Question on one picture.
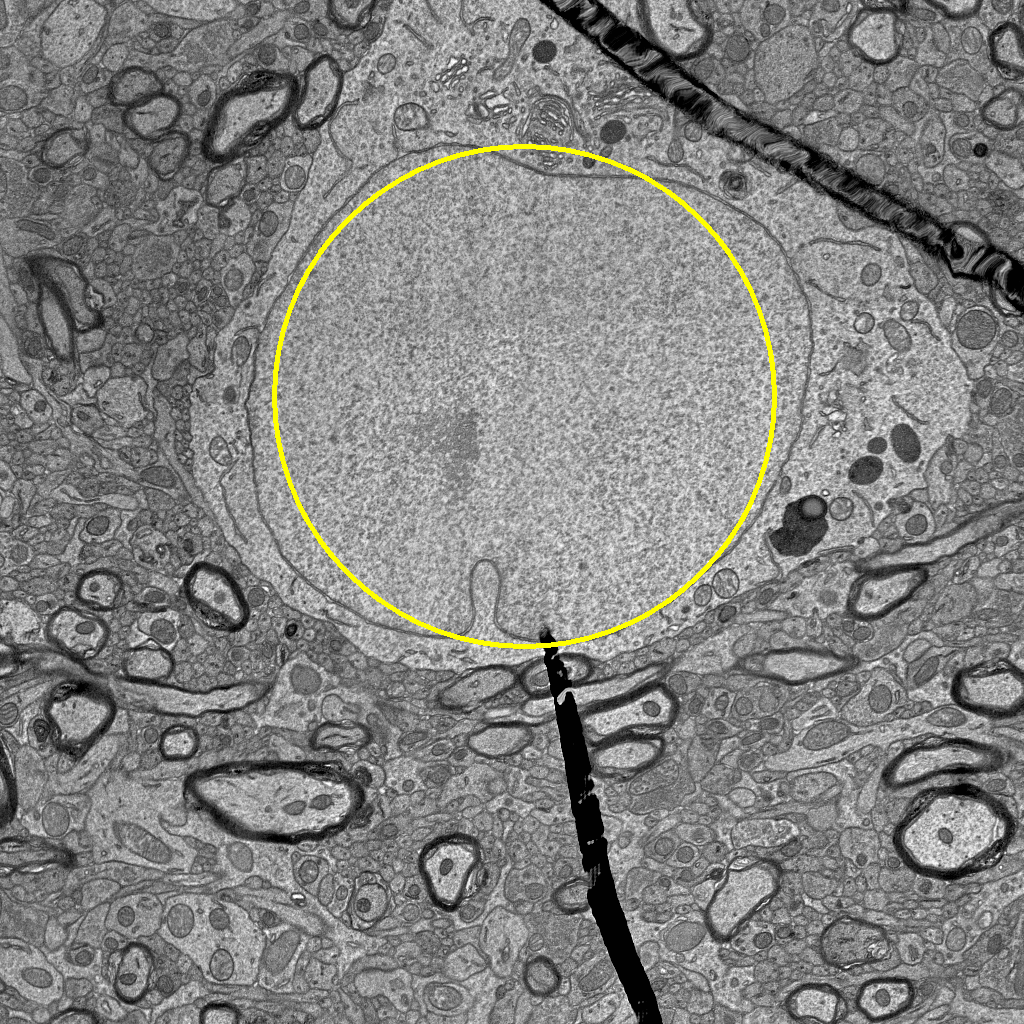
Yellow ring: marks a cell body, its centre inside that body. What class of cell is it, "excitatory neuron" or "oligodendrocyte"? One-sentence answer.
This is an excitatory neuron, the cell at the ring's centre.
